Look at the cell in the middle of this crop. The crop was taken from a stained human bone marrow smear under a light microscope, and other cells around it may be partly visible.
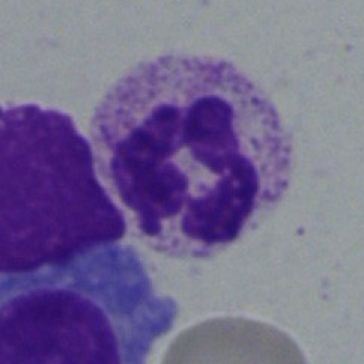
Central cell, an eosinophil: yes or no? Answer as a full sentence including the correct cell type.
No, the cell sitting in the middle is a segmented neutrophil, and it is not an eosinophil.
